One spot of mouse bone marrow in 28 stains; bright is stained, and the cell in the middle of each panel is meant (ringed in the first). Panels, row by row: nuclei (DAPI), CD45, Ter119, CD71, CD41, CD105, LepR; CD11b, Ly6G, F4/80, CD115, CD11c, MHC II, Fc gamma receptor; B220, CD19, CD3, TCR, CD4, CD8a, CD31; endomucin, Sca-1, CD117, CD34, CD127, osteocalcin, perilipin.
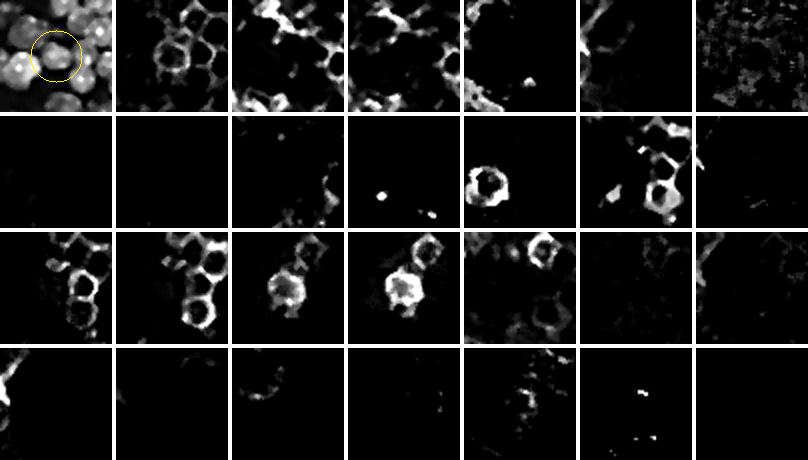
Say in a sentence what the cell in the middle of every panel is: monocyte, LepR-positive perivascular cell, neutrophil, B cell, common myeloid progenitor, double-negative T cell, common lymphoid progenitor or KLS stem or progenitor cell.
This is a double-negative T cell.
